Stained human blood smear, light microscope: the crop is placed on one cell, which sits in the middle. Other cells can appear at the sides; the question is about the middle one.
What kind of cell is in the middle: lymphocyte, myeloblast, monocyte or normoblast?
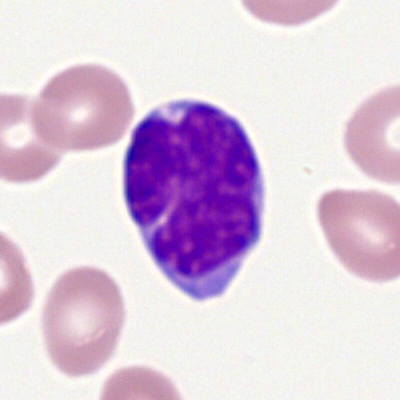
monocyte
